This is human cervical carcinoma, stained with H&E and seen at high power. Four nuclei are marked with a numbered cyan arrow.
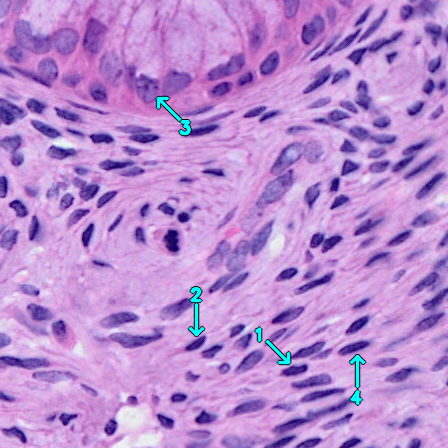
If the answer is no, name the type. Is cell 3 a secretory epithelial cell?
Yes.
